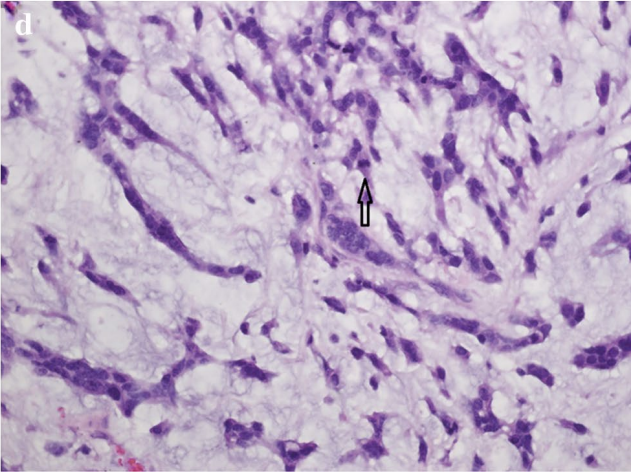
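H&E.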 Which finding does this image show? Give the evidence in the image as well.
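Nuclear atypia. Nuclei are enlarged, dark and vary in size and shape. Nuclei are crowded into elongated cords in a pale, loose background.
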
